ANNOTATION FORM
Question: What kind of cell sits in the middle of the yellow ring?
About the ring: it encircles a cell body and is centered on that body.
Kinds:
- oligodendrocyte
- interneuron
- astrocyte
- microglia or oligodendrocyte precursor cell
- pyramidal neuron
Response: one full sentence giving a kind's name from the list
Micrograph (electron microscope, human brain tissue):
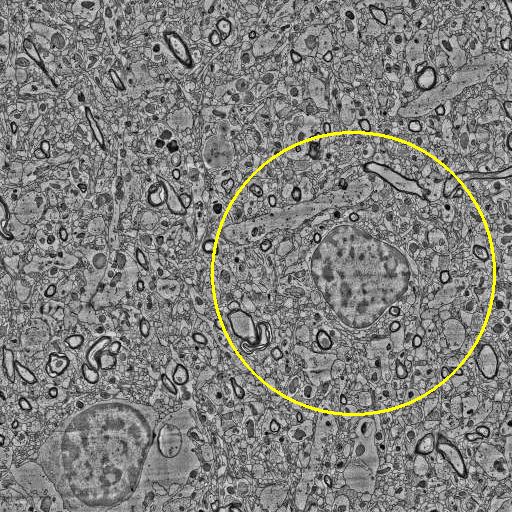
The kind of cell found at the center of the yellow ring in the micrograph is a microglial cell or oligodendrocyte precursor cell.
